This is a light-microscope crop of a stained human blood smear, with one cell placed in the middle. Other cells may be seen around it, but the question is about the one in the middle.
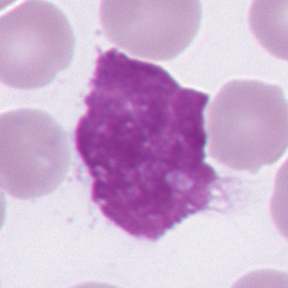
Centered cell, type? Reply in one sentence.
Regarding the central cell, it is a smudge cell.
